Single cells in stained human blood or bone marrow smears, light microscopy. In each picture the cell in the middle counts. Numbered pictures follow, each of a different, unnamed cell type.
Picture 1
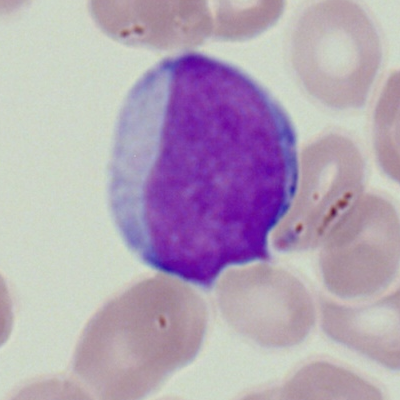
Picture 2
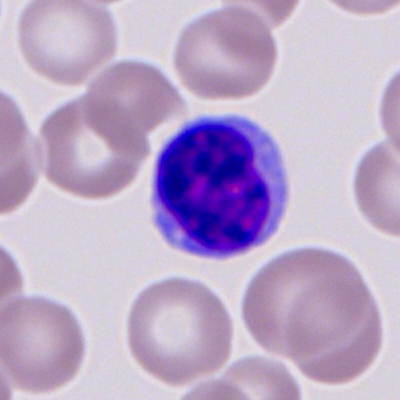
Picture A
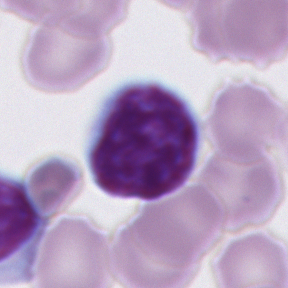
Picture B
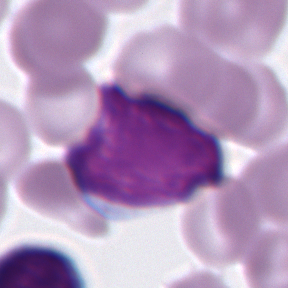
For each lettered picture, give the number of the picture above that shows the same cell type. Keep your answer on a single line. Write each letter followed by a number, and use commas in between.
A 2, B 2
